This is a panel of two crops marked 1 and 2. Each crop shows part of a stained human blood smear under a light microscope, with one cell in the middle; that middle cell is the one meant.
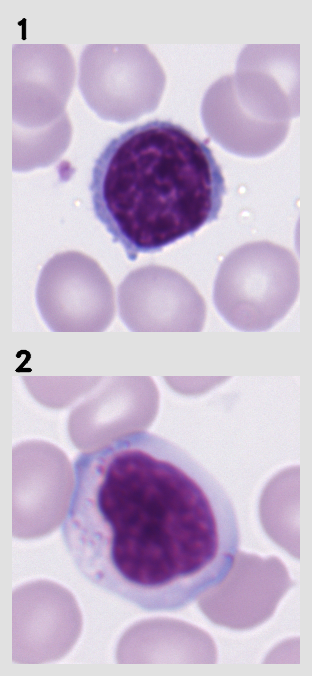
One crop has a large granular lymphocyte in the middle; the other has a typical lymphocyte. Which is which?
1: typical lymphocyte
2: large granular lymphocyte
